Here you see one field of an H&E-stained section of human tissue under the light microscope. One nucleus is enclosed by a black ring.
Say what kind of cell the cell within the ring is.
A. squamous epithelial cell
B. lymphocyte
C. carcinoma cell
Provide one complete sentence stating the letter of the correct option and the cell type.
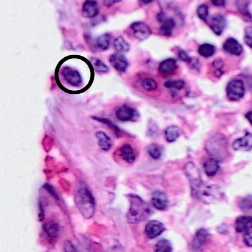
Option B, identifying the cell within the ring as a lymphocyte, is correct.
